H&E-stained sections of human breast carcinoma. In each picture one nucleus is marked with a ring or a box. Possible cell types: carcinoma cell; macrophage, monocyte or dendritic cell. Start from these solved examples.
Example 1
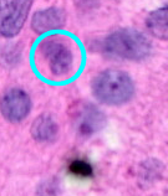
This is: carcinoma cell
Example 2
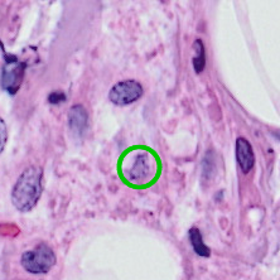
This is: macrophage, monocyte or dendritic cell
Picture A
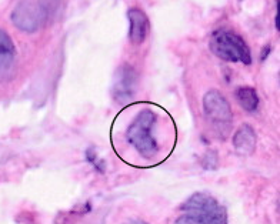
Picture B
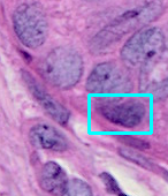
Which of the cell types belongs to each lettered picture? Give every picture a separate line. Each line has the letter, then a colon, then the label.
A: macrophage, monocyte or dendritic cell
B: carcinoma cell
